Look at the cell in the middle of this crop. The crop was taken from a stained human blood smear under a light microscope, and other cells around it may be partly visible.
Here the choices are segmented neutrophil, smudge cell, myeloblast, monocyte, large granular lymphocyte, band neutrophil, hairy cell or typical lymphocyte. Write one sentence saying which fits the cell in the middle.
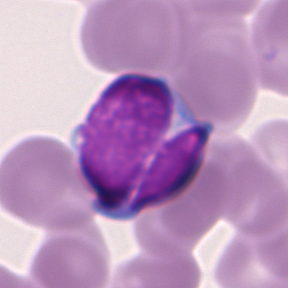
In the center of this field lies a large granular lymphocyte.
